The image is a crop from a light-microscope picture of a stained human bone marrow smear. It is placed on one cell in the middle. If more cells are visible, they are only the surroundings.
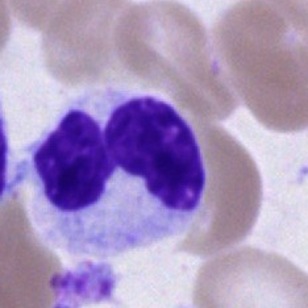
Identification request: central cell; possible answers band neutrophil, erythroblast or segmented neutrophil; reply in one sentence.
As for the cell in the middle, it is a segmented neutrophil.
